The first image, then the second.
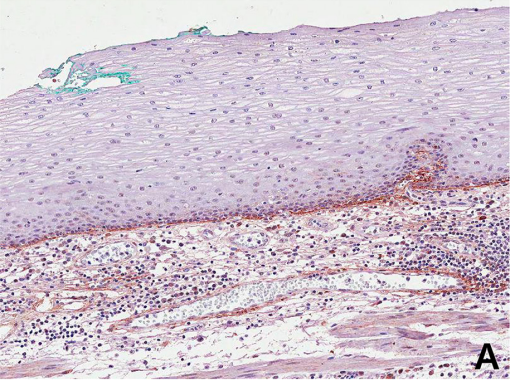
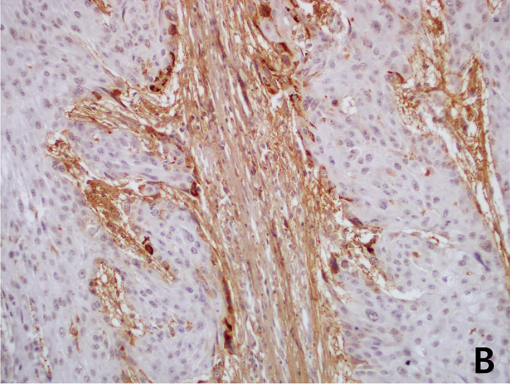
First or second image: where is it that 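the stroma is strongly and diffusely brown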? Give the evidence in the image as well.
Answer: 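Second image: broad bands of stroma between cell nests are intensely brown.
Conclusion: the second image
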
